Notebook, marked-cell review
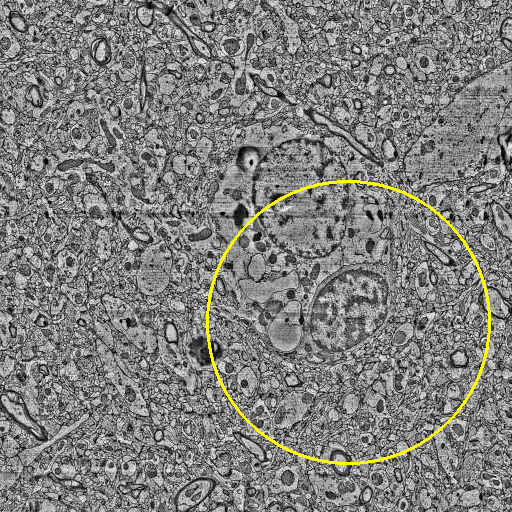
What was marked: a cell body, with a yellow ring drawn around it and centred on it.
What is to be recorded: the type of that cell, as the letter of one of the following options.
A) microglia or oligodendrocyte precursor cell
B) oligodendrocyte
B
